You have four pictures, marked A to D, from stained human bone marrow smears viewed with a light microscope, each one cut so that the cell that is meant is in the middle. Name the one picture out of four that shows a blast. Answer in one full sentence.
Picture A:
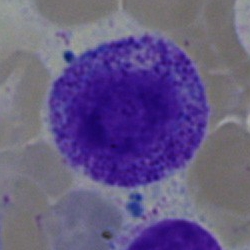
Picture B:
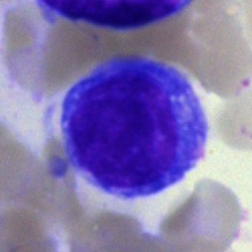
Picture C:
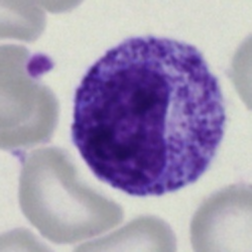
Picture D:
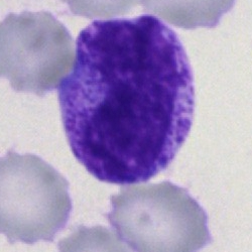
The cell in picture B is the blast.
